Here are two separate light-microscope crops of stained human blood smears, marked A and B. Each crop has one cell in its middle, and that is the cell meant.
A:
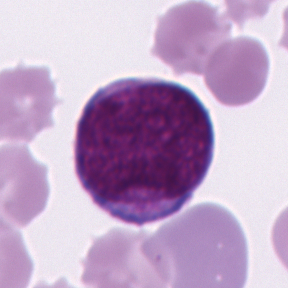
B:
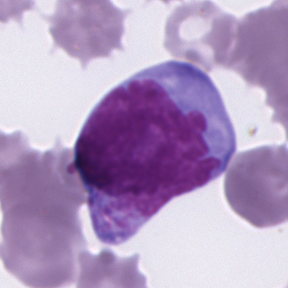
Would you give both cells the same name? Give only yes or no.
yes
